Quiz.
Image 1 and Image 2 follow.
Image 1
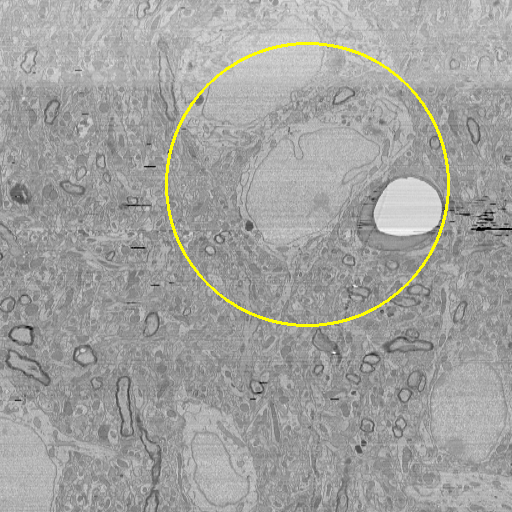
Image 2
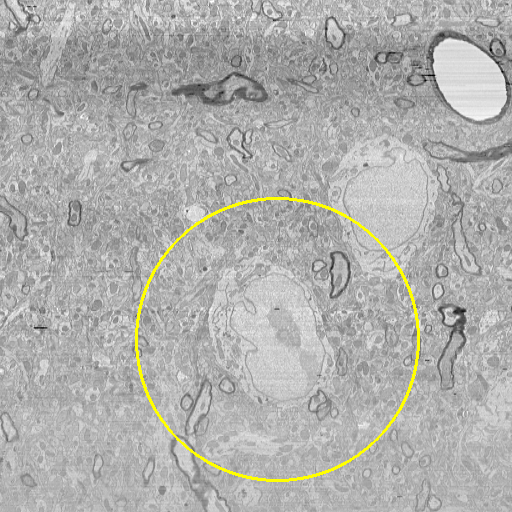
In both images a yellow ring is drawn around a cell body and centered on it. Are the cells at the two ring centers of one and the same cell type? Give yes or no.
no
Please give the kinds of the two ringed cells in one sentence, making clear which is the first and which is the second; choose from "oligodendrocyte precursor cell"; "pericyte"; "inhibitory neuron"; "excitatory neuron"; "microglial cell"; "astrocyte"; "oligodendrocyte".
In the second picture the ringed cell is an inhibitory neuron; in the first it is an excitatory neuron.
